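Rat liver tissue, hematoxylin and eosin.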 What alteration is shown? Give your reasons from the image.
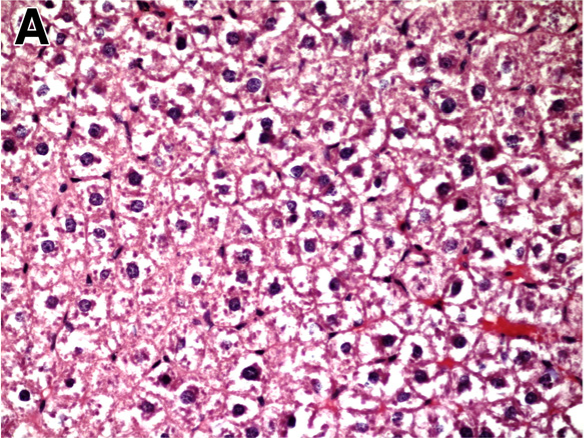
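Hepatocytes are enlarged with pale, cleared, wispy cytoplasm. Cell borders stand out sharply around the pale cytoplasm. The cord pattern of the liver plates is obscured by swollen cells.
Answer: hepatocytes ballooning degeneration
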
